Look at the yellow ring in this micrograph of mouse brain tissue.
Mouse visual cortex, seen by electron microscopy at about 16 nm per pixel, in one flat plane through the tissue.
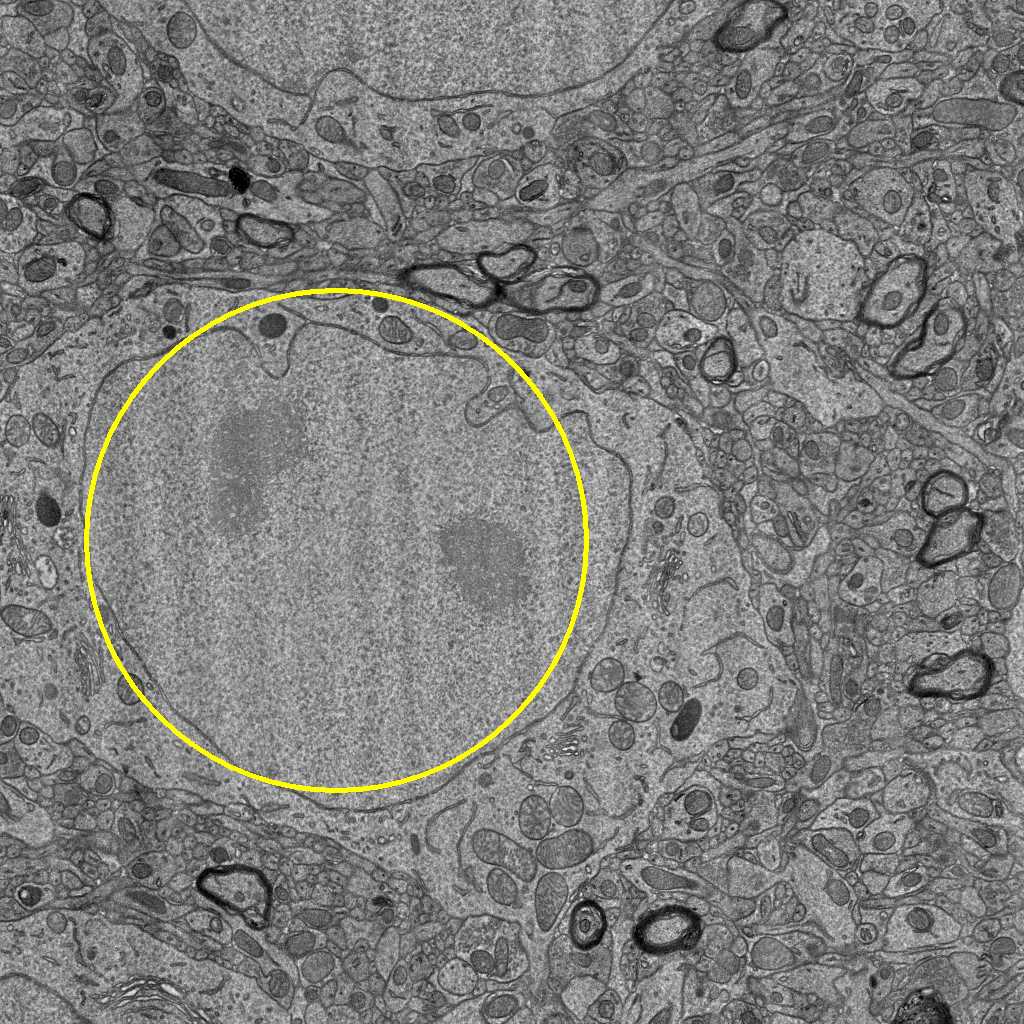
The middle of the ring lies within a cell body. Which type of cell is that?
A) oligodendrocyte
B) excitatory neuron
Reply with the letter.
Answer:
B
